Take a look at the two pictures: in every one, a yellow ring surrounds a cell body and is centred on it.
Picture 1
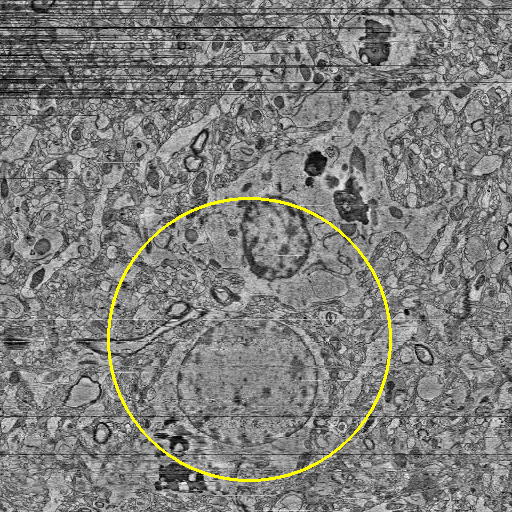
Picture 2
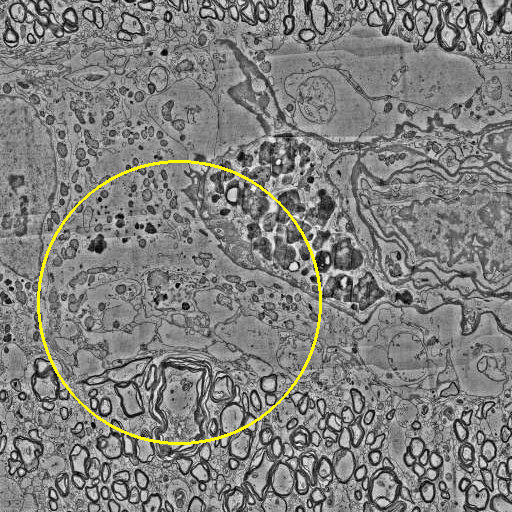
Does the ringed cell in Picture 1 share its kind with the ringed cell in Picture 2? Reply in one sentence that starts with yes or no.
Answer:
No, the two centred cells, one per picture, are of two kinds.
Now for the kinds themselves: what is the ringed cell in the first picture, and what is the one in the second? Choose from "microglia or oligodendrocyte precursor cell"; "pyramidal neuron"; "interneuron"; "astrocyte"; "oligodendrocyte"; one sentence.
Here the first cell is an astrocyte and the second cell is a microglial cell or oligodendrocyte precursor cell.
